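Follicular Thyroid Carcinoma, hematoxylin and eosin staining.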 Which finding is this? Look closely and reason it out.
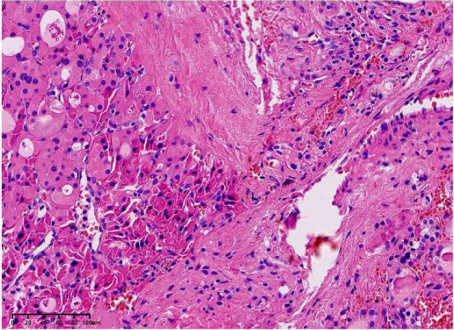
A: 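Bands of dense pink fibrous tissue run across the field. Nests of tumour cells lie within and between the fibrous bands. On this evidence: capsular invasion.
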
